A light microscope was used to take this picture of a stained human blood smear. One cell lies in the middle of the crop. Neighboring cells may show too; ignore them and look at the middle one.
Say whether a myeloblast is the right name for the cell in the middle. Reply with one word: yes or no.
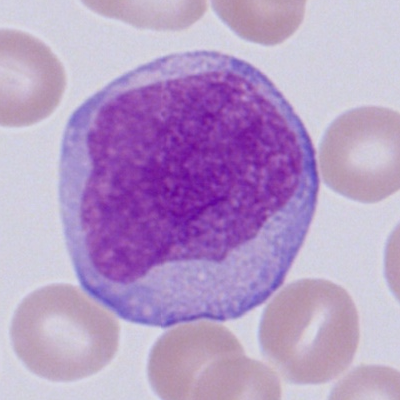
yes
